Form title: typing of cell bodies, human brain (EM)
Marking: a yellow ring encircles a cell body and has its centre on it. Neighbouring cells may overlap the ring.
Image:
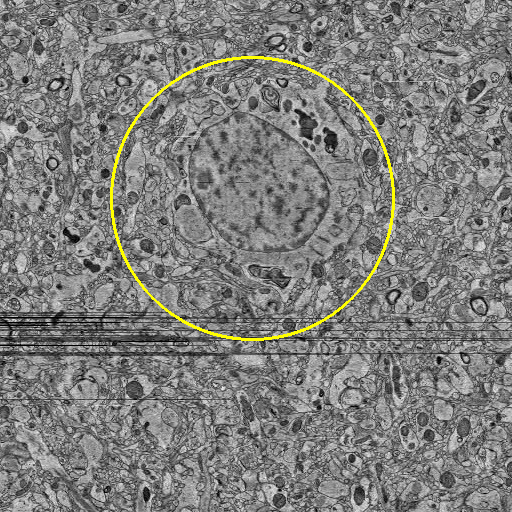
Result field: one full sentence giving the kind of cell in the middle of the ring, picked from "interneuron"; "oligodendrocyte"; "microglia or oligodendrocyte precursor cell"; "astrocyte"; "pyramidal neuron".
In the picture, the ring is centred on an astrocyte, whose cell body it encircles.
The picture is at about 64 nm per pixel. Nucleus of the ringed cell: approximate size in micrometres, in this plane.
The nucleus appears roughly 10 by 8 micrometres in this plane.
